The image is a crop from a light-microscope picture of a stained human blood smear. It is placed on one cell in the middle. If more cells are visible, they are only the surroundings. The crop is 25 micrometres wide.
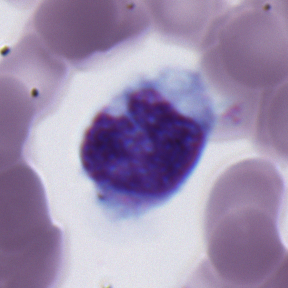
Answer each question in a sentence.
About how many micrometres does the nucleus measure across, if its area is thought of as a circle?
It measures about 9 micrometres across.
